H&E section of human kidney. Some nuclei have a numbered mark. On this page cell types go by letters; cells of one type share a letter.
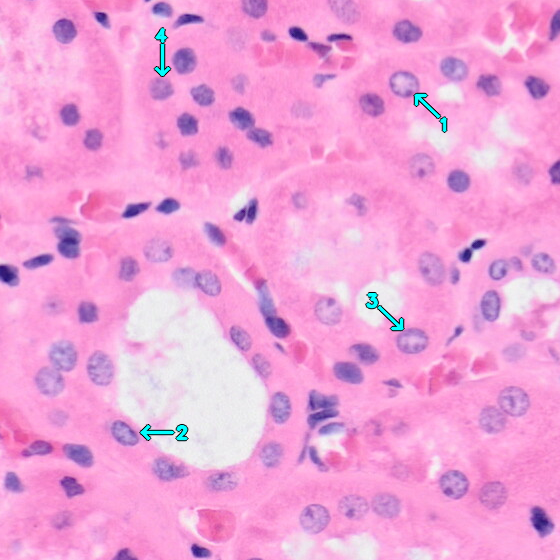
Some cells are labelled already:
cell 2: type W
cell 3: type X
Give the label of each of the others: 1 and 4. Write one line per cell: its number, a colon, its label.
1: type X
4: type W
